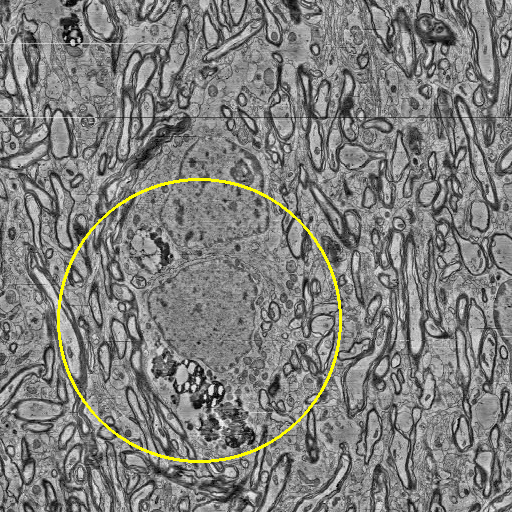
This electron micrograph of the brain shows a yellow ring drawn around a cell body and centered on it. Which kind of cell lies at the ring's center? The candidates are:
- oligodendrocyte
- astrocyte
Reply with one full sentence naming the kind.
The cell lying at the ring's center in this micrograph is an astrocyte.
